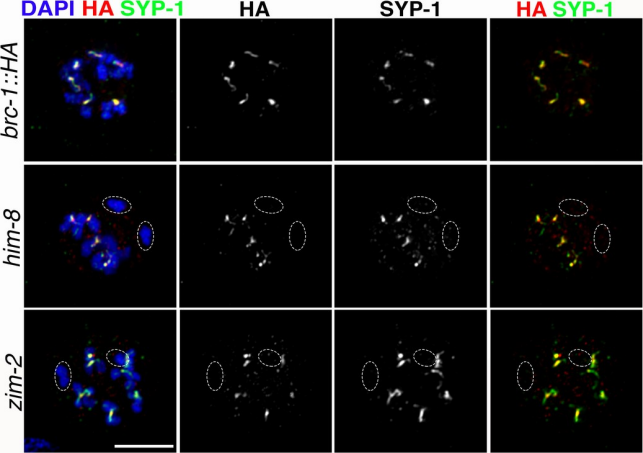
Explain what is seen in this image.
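These are late meiotic nuclei with the chromosomes condensed into compact blue bodies. The red and green signals are reduced to short bars on parts of these bodies, often overlapping to yellow. In the lower two rows dashed circles enclose condensed chromosomes that carry no red or green signal at all. The grayscale channels confirm that only a few short stretches per nucleus remain labelled.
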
